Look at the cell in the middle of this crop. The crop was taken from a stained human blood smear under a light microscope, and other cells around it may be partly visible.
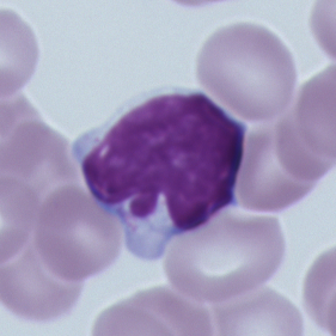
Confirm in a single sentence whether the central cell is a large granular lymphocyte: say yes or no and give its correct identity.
Yes, the cell in the middle of the view is a large granular lymphocyte.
